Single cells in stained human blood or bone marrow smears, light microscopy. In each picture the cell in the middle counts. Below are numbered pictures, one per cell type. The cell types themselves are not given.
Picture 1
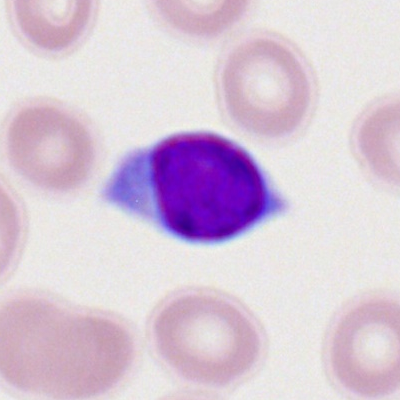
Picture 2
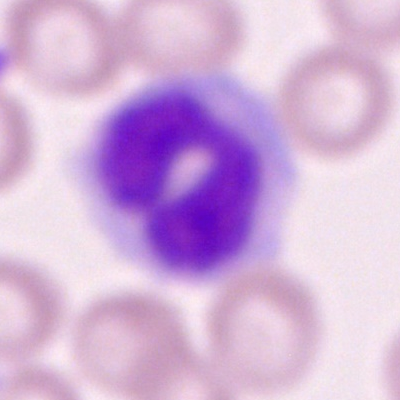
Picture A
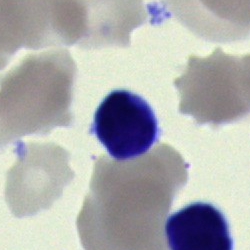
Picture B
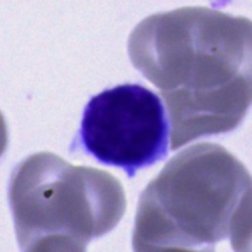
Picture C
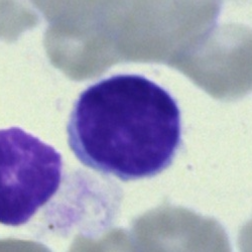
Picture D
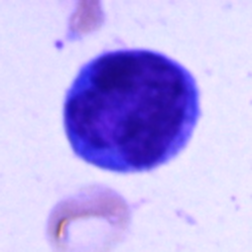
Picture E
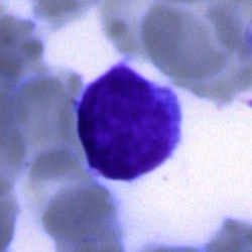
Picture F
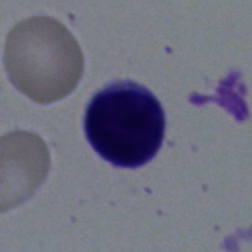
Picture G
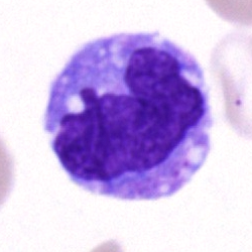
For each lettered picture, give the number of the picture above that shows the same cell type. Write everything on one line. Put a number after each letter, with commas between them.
A 1, B 1, C 1, D 2, E 1, F 1, G 2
